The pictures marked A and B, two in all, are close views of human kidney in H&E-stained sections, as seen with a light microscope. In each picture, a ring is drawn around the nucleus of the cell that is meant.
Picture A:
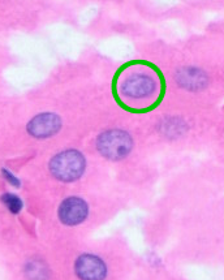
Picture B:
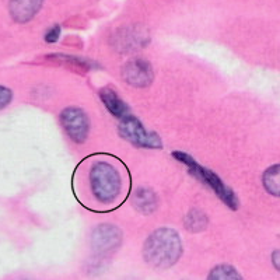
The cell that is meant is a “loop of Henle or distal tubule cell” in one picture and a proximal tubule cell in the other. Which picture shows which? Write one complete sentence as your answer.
Picture A shows a proximal tubule cell and picture B shows a “loop of Henle or distal tubule cell”.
